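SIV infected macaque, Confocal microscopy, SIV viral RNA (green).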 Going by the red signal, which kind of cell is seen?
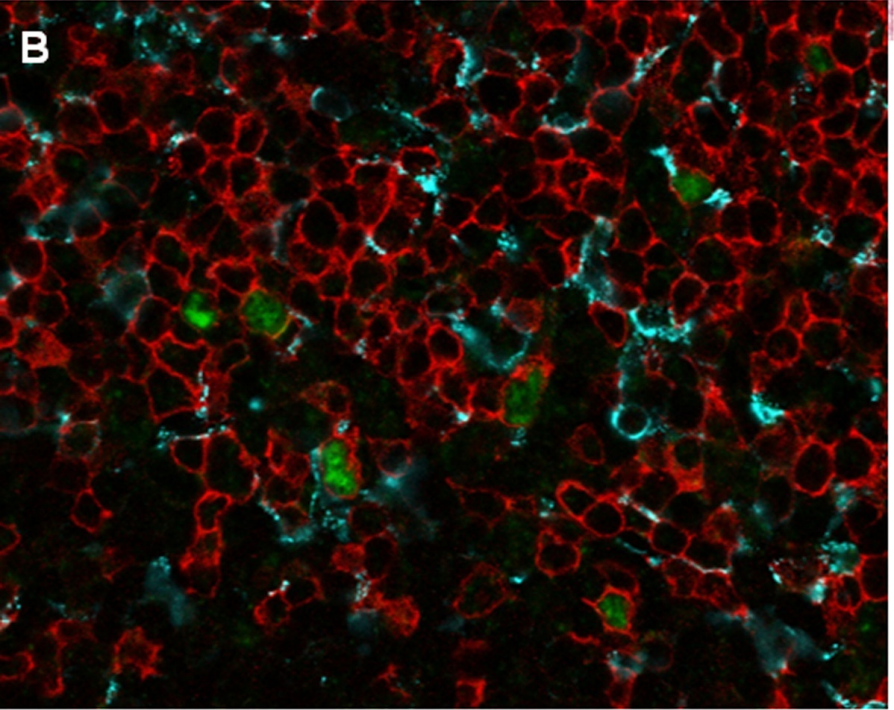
lymphocytes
